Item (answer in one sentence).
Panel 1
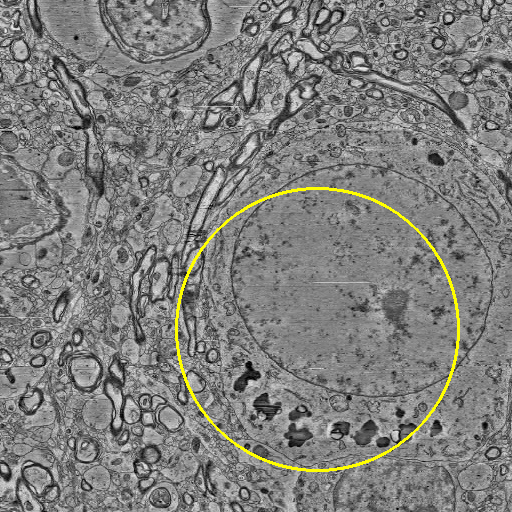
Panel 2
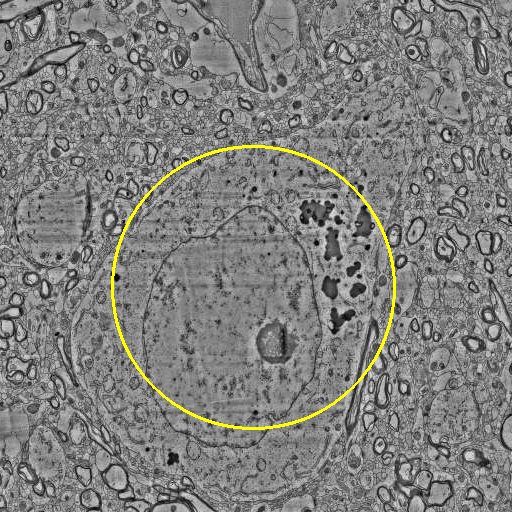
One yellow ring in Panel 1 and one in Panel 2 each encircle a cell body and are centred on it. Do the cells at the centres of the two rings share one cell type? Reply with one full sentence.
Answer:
Yes, Panel 1 and Panel 2 show cells of one type at the centres of their rings.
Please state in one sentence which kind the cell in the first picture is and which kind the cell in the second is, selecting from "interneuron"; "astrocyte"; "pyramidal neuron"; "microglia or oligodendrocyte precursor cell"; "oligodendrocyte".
The cell in the first picture is a pyramidal neuron, and so is the one in the second.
